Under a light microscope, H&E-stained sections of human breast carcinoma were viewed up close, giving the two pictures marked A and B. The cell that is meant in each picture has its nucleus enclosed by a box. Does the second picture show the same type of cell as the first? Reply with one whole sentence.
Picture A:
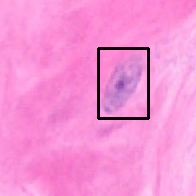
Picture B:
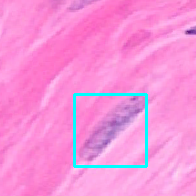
Yes, both cells are fibroblasts.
